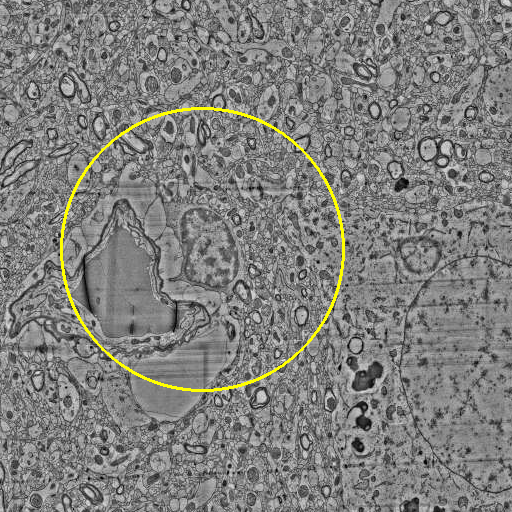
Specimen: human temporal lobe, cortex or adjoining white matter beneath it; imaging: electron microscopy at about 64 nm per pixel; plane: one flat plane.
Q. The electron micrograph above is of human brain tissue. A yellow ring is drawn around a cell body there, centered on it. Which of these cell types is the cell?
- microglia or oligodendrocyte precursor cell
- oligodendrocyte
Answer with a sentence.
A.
The cell under the ring's center is an oligodendrocyte.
